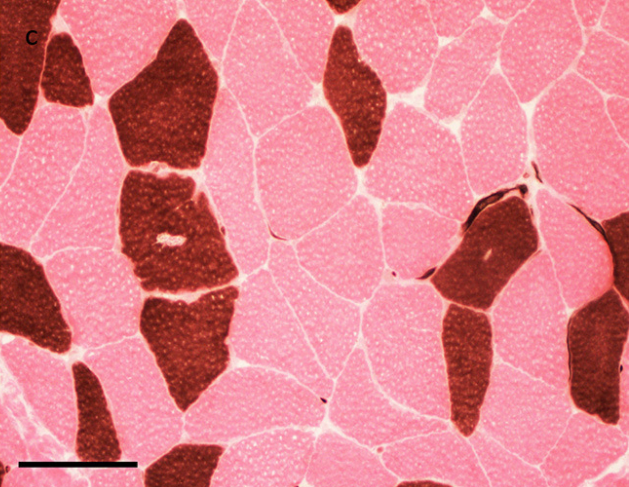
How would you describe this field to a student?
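This is skeletal muscle in cross-section showing a mosaic of dark brown and pale pink polygonal fibers. Two of the dark brown fibers contain small clear vacuoles near their centre, while the pale fibers show none.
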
